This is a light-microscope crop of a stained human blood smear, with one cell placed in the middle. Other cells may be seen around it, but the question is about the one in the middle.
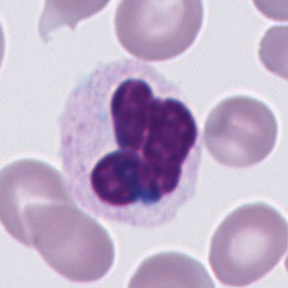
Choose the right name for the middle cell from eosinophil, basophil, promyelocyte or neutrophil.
neutrophil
